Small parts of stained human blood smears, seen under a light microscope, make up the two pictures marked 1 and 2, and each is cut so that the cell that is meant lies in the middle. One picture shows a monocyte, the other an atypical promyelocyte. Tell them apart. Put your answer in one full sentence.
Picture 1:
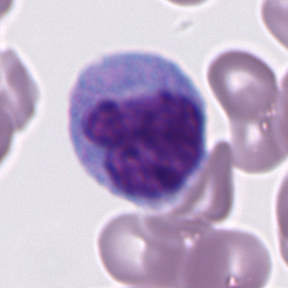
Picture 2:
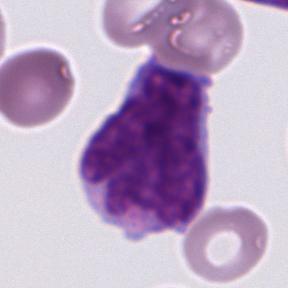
In picture 1 the cell is a monocyte; in picture 2, an atypical promyelocyte.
